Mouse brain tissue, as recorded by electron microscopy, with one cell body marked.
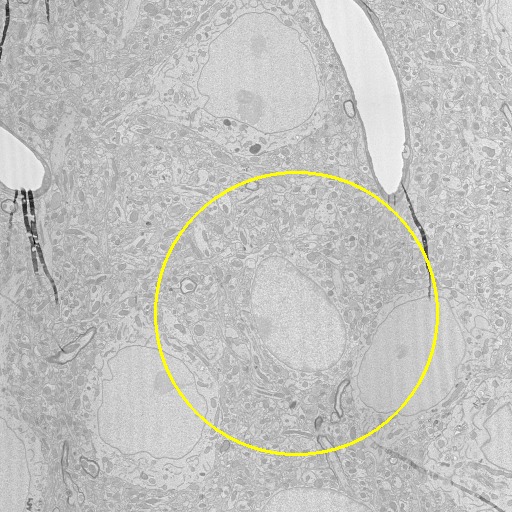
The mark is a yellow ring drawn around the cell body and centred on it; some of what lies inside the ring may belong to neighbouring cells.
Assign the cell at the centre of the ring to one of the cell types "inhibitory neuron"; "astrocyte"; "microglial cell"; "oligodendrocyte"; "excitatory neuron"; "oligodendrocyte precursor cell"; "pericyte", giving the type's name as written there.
astrocyte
